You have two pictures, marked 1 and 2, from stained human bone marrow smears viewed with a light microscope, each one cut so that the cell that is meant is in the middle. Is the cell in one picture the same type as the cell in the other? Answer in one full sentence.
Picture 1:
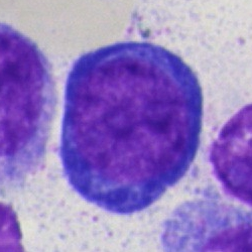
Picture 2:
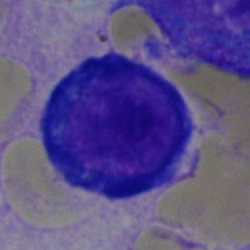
Yes, they are the same type: both are proerythroblasts.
